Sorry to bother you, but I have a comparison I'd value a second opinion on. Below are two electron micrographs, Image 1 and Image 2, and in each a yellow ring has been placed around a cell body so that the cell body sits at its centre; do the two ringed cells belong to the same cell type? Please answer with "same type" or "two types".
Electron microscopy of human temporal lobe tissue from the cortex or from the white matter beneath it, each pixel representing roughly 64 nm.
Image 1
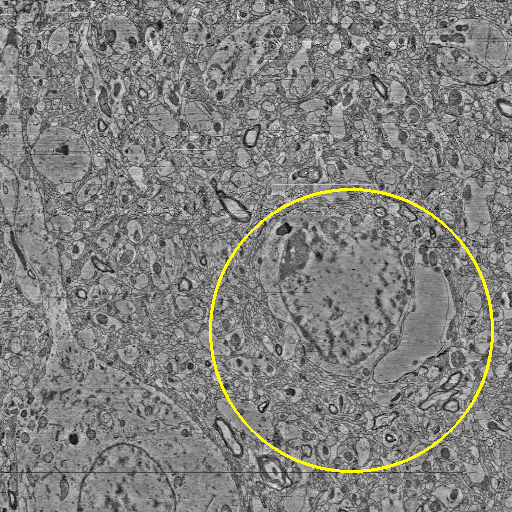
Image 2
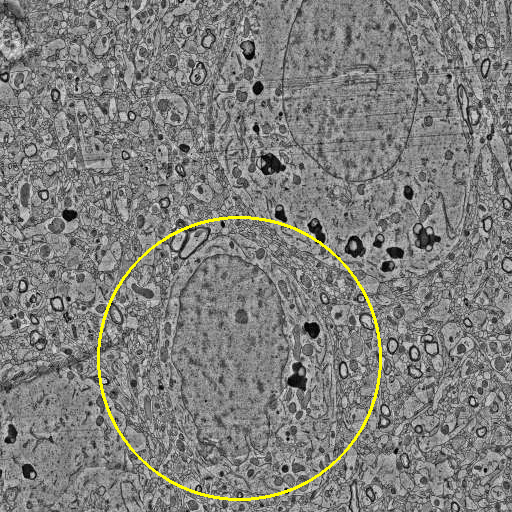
same type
